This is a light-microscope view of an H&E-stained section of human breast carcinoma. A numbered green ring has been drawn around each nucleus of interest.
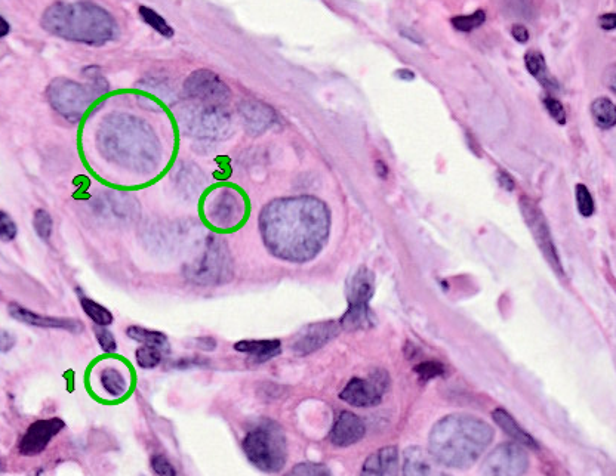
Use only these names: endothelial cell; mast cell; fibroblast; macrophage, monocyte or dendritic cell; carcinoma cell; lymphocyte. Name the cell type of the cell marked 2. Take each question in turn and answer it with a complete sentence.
Marked with the number 2, this cell is a carcinoma cell.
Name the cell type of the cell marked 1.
The cell identified by number 1 is a lymphocyte.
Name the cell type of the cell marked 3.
The cell with the number 3 is a carcinoma cell.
